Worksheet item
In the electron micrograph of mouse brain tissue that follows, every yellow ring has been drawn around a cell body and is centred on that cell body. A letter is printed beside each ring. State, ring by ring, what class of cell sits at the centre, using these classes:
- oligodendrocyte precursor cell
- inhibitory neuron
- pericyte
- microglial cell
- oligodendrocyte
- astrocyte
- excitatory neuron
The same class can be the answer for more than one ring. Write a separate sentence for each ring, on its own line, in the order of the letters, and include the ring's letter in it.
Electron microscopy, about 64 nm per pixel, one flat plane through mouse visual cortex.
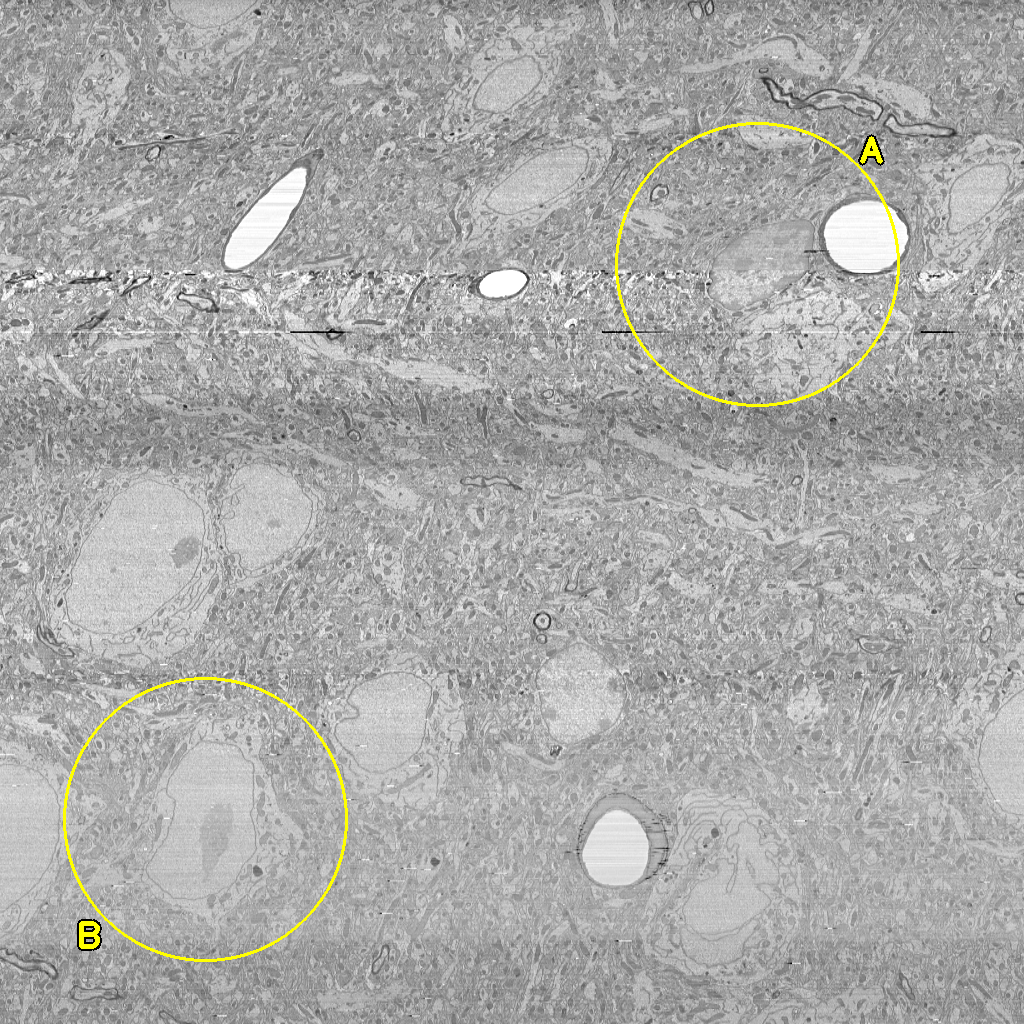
At the centre of ring A sits a microglial cell.
At the centre of ring B sits an excitatory neuron.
